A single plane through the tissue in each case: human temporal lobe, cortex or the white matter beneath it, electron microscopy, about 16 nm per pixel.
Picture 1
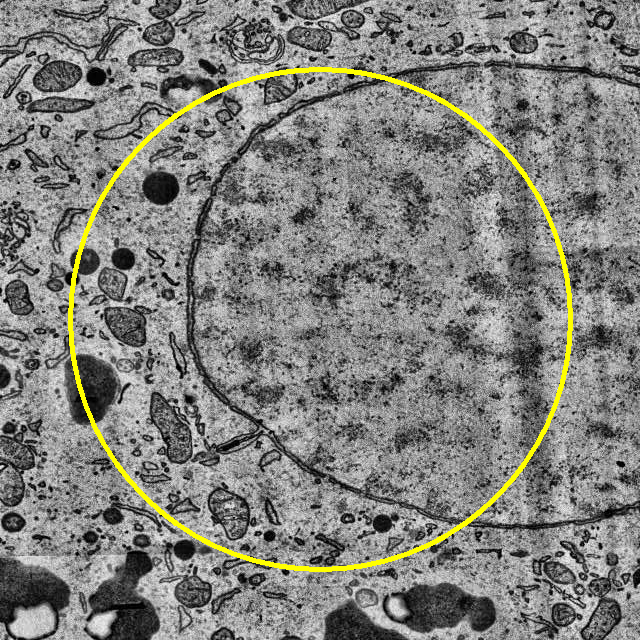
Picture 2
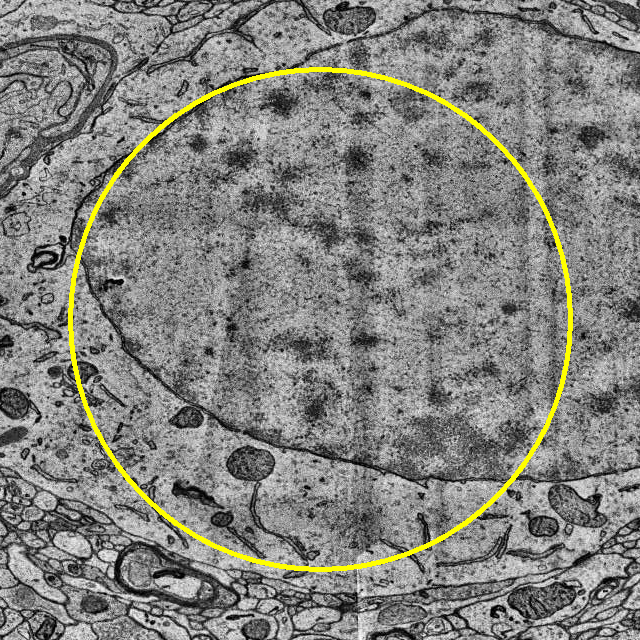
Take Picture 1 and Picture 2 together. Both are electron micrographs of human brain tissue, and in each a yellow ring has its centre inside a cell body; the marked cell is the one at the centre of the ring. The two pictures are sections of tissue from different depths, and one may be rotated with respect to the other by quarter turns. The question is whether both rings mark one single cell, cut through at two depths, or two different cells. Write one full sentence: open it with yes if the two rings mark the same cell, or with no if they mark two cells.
No, the yellow rings mark two cells that are not the same.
